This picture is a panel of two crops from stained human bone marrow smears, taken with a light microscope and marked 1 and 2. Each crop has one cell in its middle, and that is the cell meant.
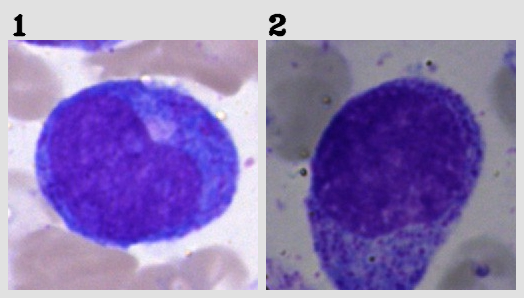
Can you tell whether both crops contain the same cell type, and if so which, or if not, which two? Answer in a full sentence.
Yes, the cells in both crops are promyelocytes.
